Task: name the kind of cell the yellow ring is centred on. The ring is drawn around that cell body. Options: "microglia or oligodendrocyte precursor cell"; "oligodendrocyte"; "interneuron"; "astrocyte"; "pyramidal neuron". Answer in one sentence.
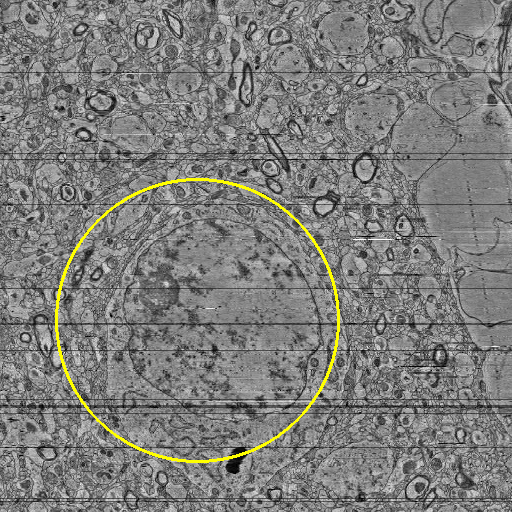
This cell body belongs to a pyramidal neuron.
